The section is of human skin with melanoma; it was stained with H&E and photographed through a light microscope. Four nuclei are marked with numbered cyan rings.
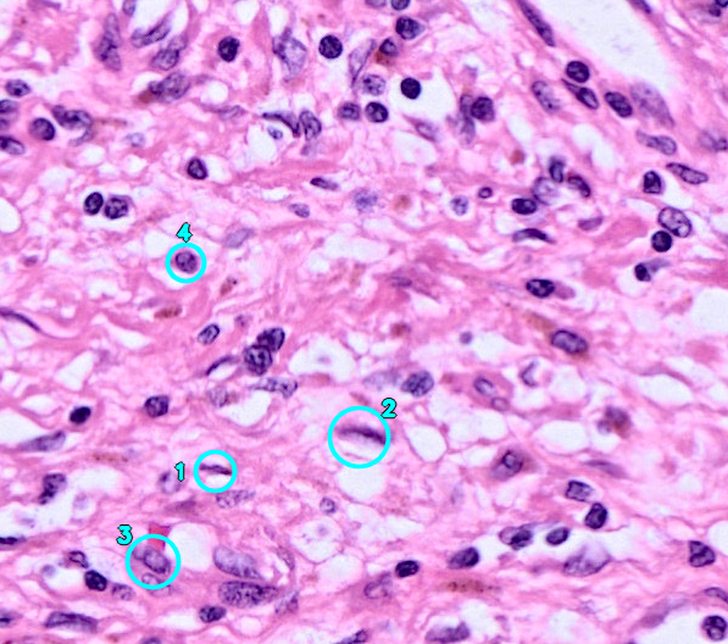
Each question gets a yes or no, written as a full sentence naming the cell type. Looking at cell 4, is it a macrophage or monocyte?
Yes, the cell whose nucleus carries number 4 is a macrophage or monocyte.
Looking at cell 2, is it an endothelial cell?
No, cell 2, which is a fibroblast or myofibroblast, is not an endothelial cell.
